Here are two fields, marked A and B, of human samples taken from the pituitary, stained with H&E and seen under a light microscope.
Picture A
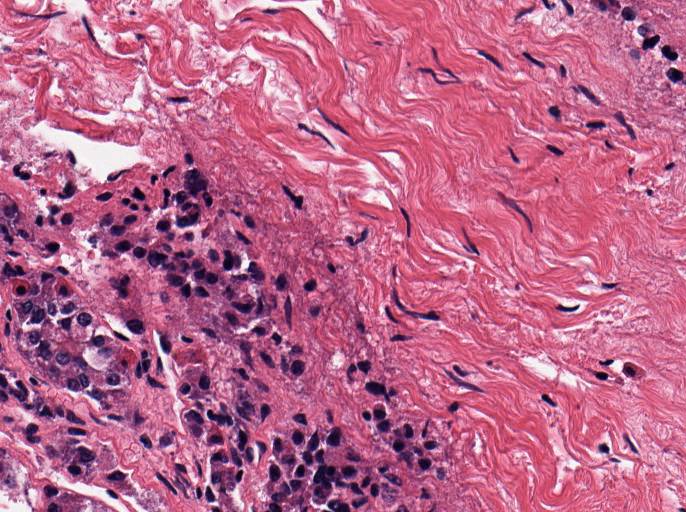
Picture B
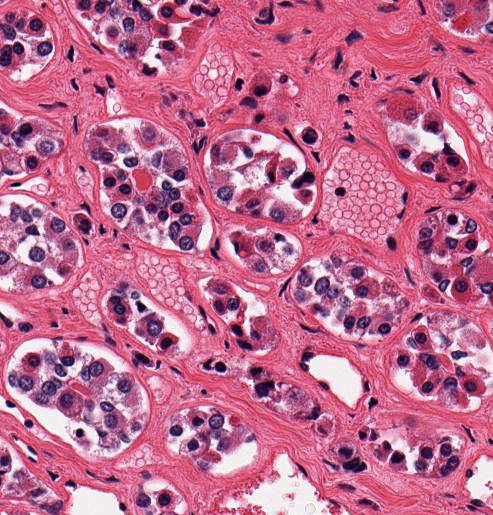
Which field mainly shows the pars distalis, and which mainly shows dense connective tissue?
A: dense connective tissue
B: pars distalis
